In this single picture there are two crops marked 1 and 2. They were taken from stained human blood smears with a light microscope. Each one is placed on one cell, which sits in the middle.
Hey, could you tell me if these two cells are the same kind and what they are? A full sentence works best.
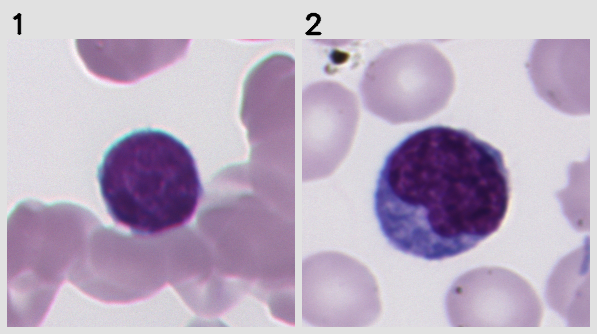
Yes, both crops show lymphocytes as the central cells.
